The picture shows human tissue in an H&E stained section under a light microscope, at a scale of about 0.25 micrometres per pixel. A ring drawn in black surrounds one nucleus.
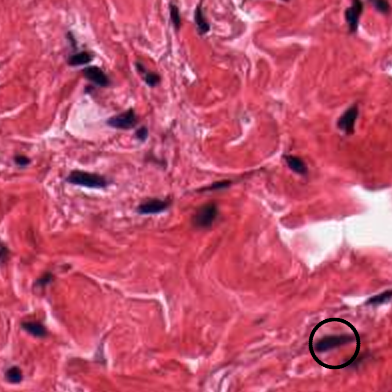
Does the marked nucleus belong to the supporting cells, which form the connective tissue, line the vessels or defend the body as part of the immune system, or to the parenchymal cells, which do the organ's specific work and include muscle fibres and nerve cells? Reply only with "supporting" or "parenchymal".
supporting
